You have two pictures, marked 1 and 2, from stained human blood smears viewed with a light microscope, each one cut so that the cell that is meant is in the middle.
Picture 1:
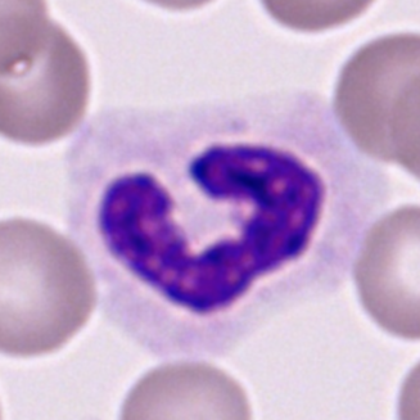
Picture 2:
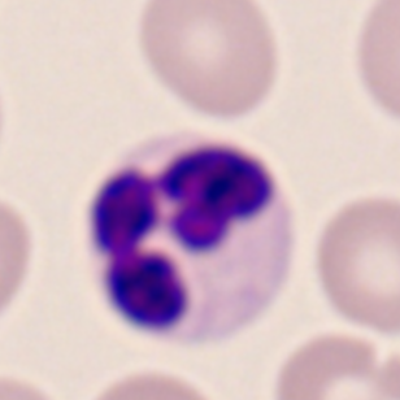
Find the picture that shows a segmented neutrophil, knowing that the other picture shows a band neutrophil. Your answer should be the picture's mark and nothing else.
2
